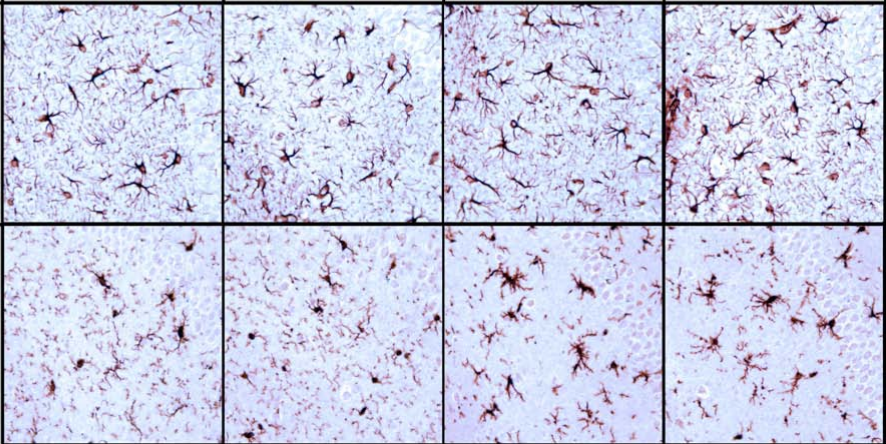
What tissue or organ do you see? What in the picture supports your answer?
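Brain. Pale neuropil with scattered glial cells bearing branched processes. No epithelium or lumen is present.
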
